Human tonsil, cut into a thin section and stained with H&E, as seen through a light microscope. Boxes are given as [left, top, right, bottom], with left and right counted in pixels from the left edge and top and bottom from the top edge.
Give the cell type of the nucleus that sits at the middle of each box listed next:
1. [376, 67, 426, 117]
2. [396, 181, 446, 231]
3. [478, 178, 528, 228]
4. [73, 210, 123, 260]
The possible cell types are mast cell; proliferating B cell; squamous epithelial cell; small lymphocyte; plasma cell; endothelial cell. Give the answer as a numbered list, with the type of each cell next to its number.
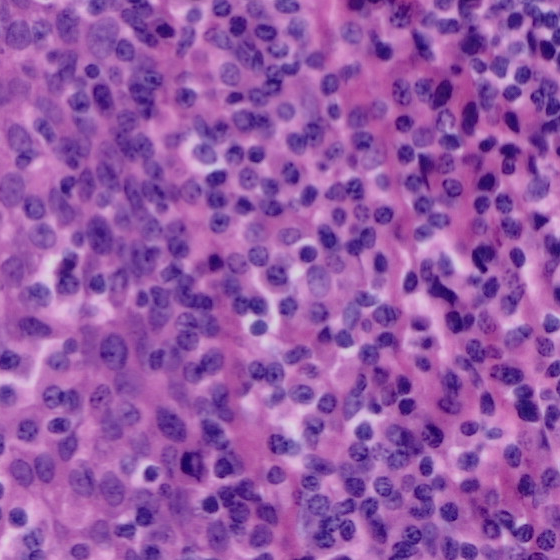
1. plasma cell
2. plasma cell
3. plasma cell
4. squamous epithelial cell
